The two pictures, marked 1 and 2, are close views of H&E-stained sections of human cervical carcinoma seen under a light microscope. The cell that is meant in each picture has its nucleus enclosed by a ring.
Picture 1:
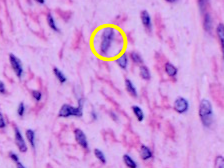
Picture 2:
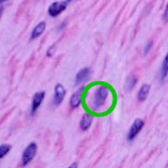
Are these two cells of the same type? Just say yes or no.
yes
